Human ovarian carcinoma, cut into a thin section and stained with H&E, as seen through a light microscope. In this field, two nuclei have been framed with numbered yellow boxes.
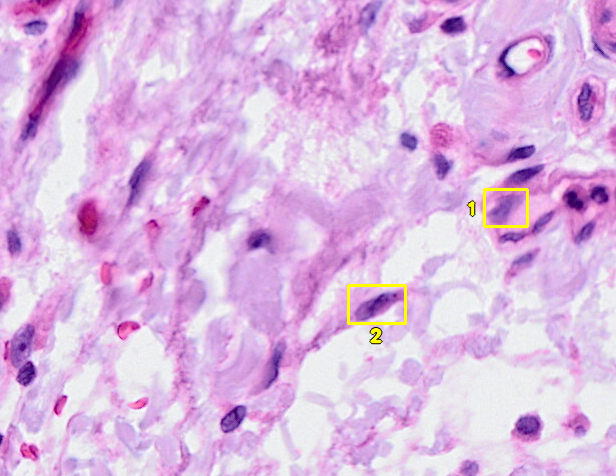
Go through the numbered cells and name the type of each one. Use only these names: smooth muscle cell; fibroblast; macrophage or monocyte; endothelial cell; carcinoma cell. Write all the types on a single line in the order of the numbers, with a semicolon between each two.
endothelial cell; fibroblast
